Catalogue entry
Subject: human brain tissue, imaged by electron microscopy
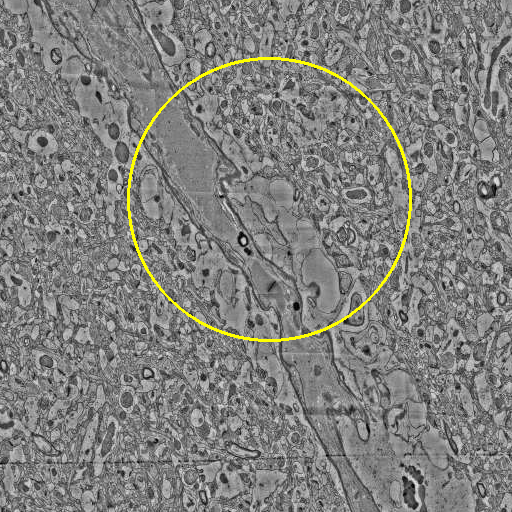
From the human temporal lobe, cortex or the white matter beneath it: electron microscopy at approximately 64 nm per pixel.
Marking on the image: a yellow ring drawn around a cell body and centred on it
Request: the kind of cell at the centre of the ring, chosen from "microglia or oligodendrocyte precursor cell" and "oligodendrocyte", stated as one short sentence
The ring has a microglial cell or oligodendrocyte precursor cell at its centre.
